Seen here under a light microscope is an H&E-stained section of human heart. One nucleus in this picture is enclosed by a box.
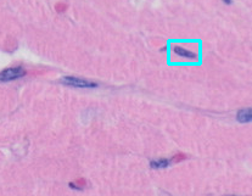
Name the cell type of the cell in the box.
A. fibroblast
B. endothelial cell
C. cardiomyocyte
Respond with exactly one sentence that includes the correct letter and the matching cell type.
As the cell in the box is a fibroblast, the correct choice is option A.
